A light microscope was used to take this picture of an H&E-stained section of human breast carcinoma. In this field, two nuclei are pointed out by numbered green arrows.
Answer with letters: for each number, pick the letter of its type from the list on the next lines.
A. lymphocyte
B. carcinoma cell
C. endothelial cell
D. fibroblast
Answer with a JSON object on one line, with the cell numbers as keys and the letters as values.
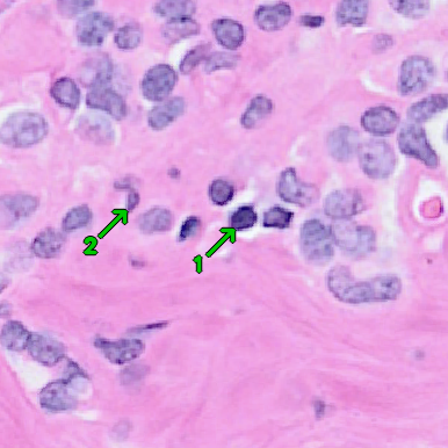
{"1": "A", "2": "C"}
